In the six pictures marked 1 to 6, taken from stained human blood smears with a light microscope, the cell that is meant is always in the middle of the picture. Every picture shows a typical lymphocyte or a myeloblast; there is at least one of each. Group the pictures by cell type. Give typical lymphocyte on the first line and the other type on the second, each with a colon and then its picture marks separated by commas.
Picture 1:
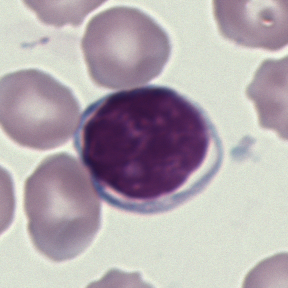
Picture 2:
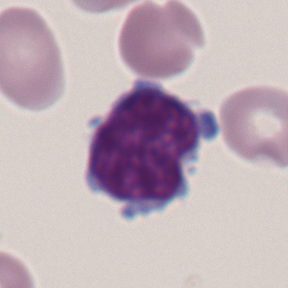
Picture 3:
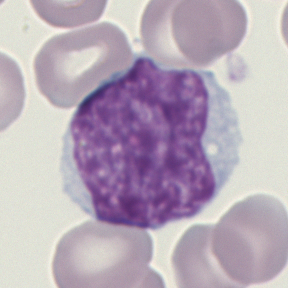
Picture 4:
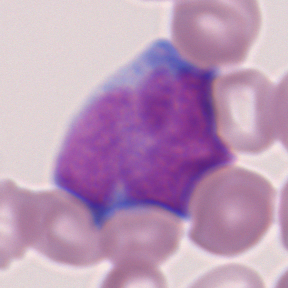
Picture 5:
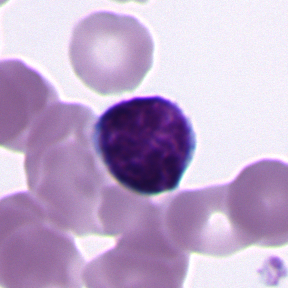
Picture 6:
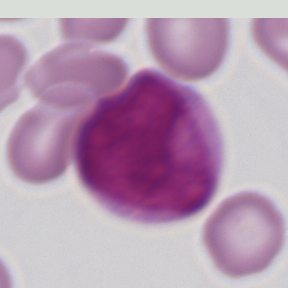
typical lymphocyte: 1, 2, 5
myeloblast: 3, 4, 6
